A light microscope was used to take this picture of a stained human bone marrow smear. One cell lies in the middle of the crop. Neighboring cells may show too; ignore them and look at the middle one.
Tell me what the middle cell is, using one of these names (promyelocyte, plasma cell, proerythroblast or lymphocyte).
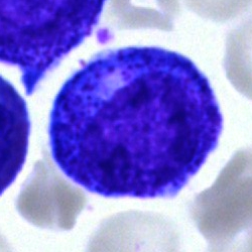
promyelocyte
